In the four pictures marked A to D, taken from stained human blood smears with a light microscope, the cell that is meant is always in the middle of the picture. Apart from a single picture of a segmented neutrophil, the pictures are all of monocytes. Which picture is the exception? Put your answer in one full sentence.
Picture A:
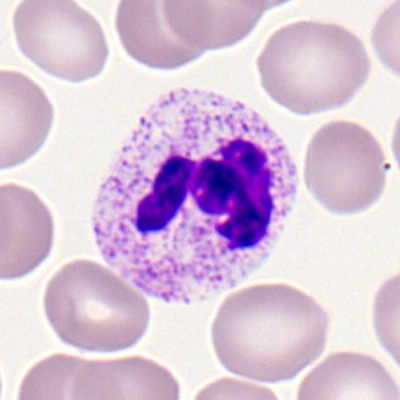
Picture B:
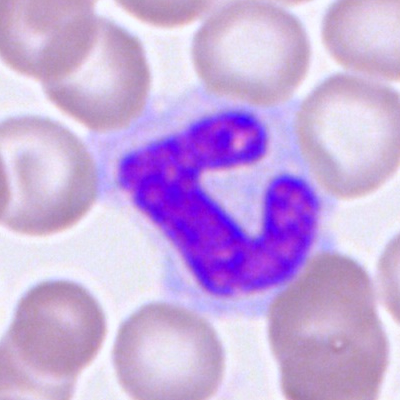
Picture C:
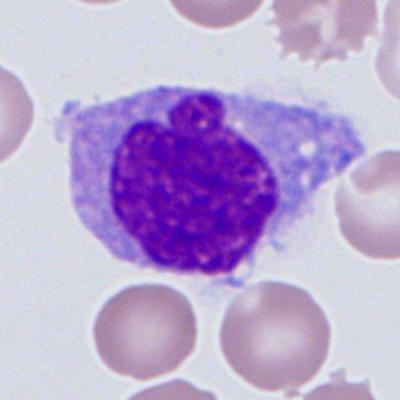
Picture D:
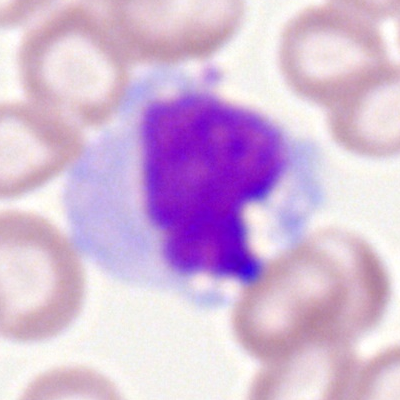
Picture A is the one that shows the segmented neutrophil.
